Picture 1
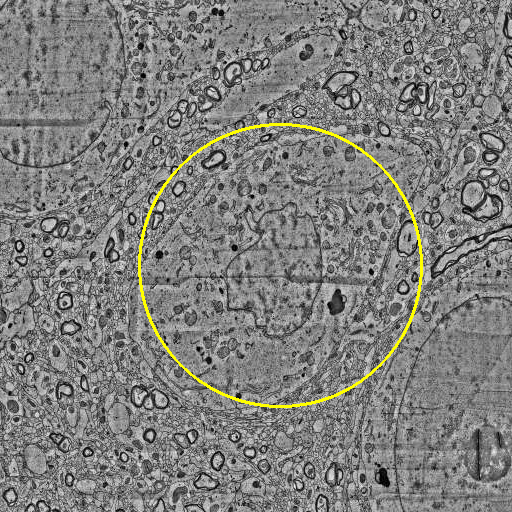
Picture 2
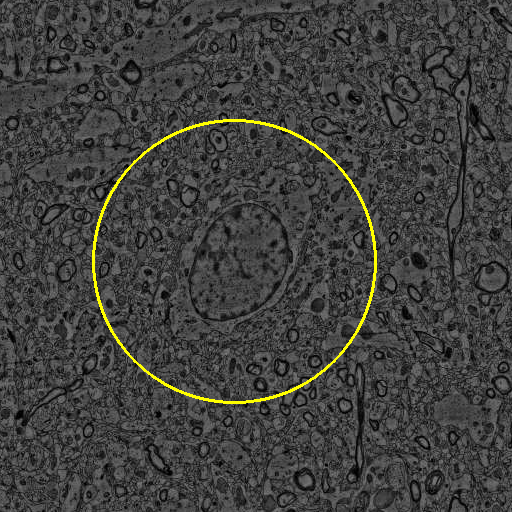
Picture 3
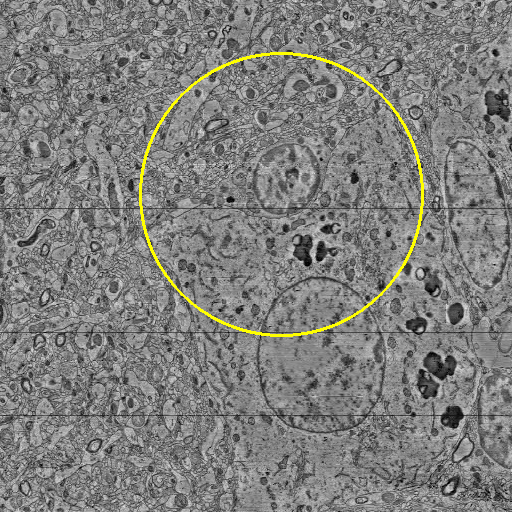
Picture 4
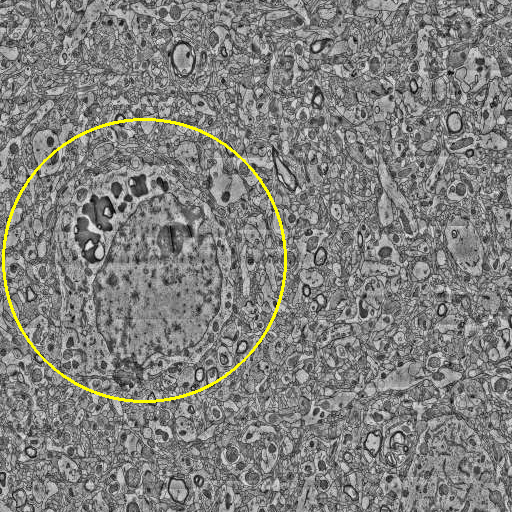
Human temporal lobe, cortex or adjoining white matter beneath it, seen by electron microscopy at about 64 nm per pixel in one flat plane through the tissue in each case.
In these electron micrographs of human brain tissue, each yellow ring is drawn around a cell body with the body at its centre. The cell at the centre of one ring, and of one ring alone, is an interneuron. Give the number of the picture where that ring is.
4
